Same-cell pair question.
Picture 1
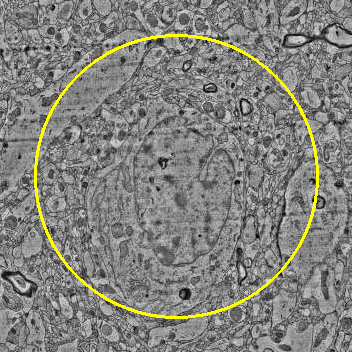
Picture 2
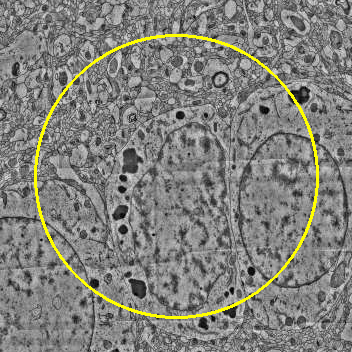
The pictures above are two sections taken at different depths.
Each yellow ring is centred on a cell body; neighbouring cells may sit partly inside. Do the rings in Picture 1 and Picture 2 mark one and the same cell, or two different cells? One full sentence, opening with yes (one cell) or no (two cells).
No, the two yellow rings each circle a different cell.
